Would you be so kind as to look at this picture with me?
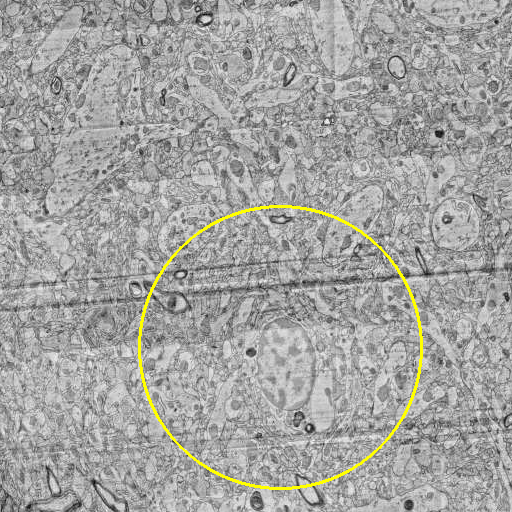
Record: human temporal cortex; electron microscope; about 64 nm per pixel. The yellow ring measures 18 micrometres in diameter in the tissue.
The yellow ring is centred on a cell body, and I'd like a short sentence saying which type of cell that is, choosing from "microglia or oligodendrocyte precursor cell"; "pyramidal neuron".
The cell body in the ring belongs to a microglial cell or oligodendrocyte precursor cell.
